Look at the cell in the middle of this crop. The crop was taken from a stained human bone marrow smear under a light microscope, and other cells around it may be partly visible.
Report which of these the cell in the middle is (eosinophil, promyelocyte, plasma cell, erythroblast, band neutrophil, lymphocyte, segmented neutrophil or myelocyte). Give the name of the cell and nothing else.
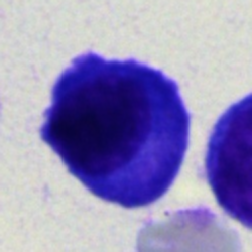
plasma cell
